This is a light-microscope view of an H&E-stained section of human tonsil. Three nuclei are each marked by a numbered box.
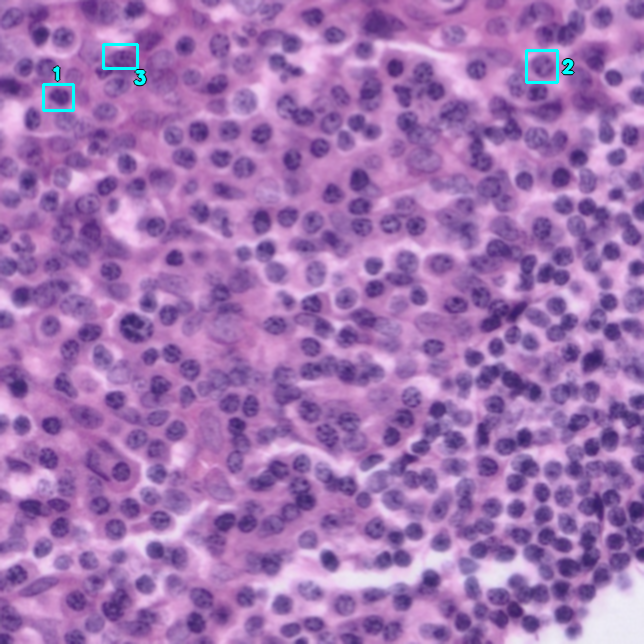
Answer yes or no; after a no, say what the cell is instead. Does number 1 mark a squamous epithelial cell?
No, it is a plasma cell.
